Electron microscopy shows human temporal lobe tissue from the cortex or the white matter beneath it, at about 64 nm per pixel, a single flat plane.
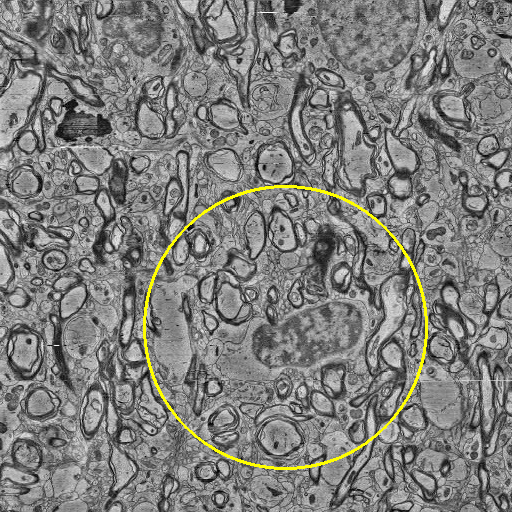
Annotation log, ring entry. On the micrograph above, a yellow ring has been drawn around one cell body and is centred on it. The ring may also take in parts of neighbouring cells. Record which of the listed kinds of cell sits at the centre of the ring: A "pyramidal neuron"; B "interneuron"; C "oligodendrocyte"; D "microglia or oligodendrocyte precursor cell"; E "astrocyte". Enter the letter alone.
D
